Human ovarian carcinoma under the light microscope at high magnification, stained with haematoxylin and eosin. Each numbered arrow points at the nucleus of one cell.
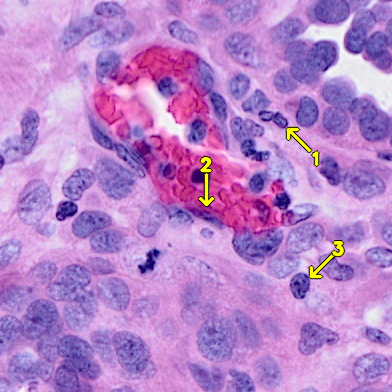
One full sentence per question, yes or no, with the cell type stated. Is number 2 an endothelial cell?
Yes, cell number 2 is classified as an endothelial cell.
